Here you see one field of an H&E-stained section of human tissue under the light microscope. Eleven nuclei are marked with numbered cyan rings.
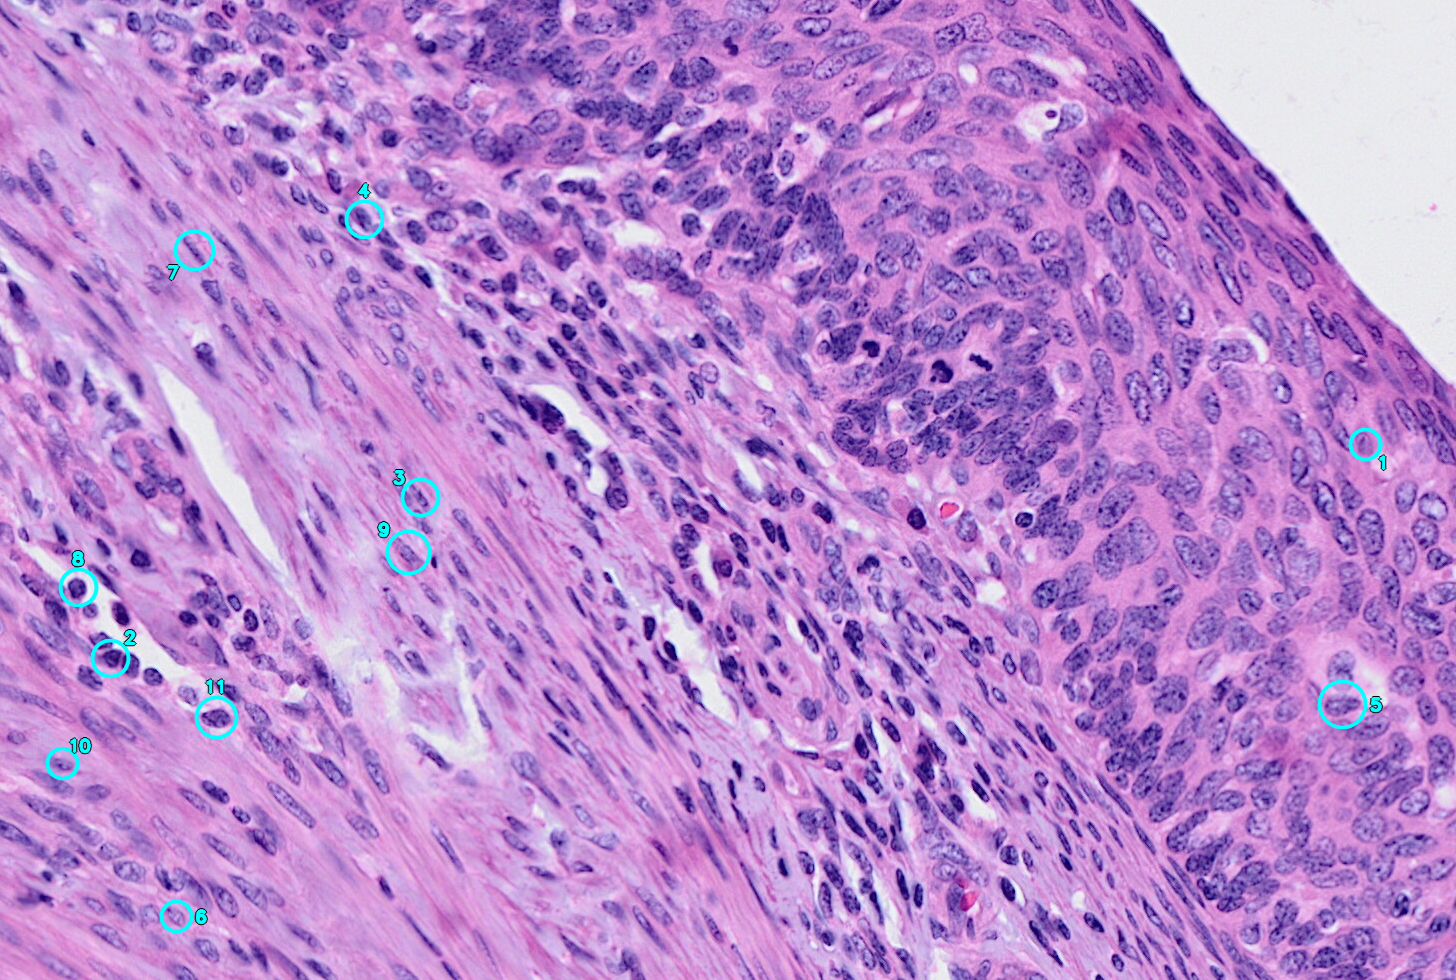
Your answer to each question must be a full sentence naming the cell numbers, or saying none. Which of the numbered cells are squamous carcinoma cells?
The cells shown with numbers 1 and 5 are squamous carcinoma cells.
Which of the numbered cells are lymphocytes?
The cells labelled 2, 4, 8 and 11 in this section are lymphocytes.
